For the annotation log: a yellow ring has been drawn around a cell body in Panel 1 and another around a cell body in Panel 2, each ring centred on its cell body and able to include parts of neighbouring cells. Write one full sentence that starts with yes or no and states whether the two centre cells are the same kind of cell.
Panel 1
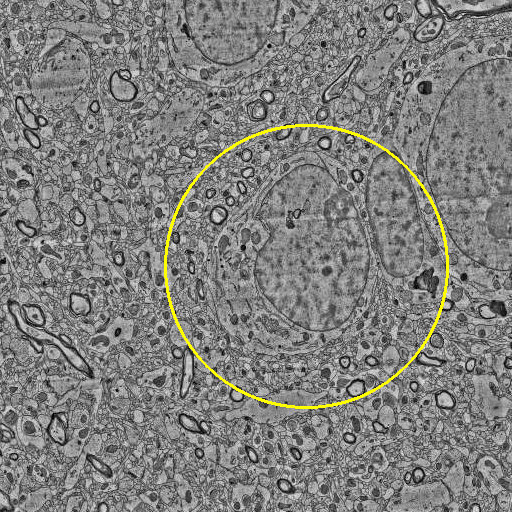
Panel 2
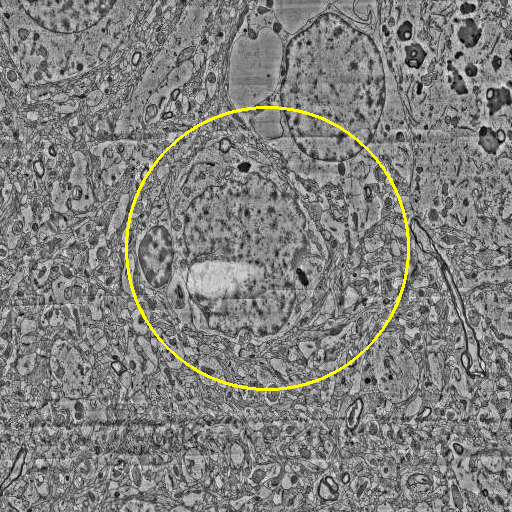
Yes, the two centre cells are the same kind of cell.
